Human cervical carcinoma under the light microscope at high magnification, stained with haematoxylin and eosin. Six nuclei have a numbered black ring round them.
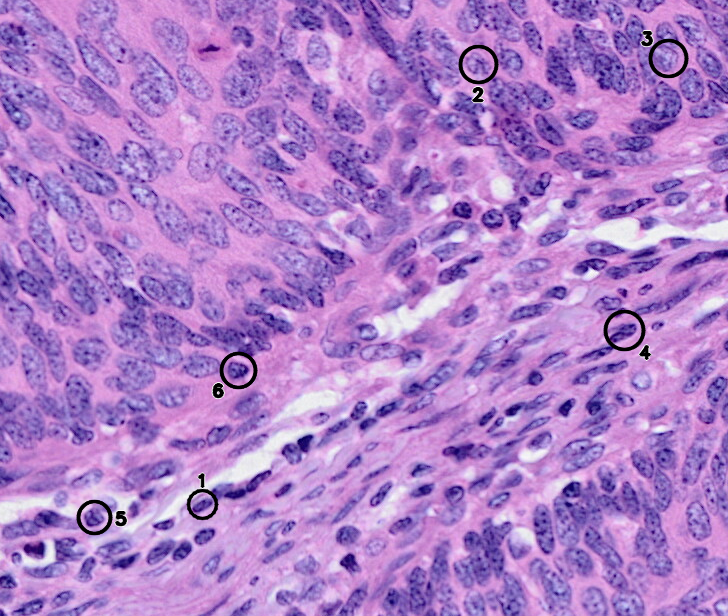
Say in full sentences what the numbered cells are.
Cells 1, 4 and 5 are lymphocytes. Cells 2, 3 and 6 are squamous carcinoma cells.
